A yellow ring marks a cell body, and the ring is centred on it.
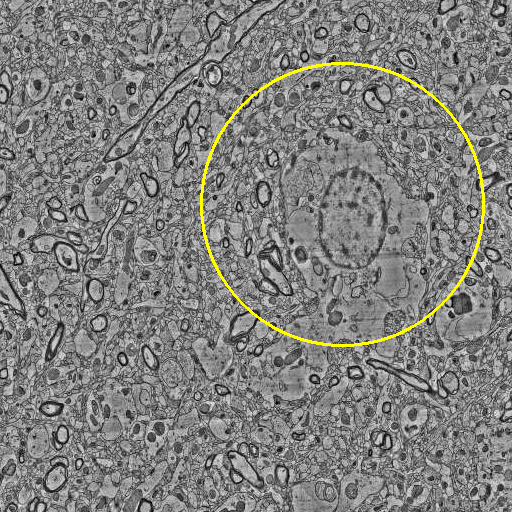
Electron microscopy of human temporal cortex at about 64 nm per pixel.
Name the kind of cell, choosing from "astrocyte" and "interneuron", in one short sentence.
The marked cell body belongs to an astrocyte.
